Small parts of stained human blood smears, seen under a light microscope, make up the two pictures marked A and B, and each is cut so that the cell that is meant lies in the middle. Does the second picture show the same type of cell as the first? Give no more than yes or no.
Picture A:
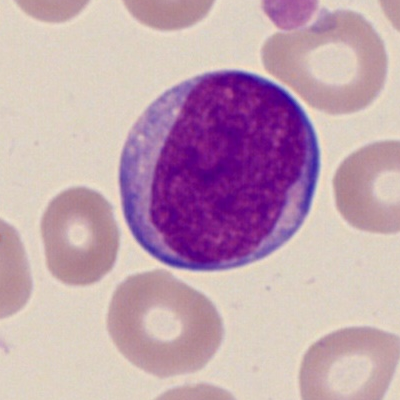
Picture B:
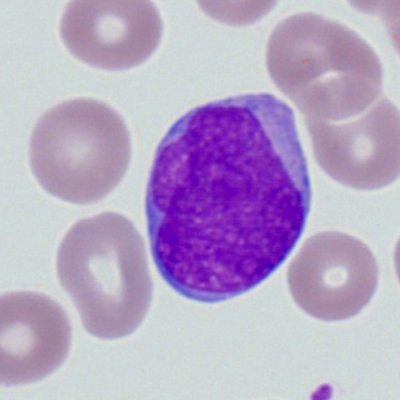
yes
